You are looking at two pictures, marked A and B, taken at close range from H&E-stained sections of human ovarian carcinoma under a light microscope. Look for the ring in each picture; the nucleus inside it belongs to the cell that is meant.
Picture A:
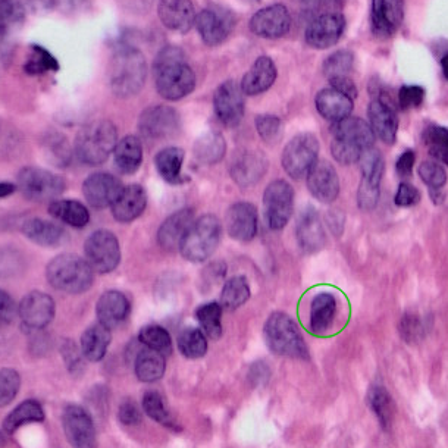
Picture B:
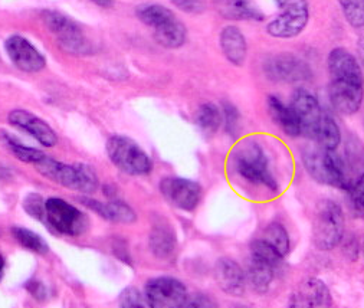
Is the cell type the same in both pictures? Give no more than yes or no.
no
